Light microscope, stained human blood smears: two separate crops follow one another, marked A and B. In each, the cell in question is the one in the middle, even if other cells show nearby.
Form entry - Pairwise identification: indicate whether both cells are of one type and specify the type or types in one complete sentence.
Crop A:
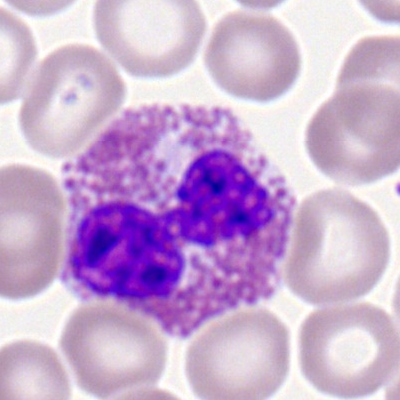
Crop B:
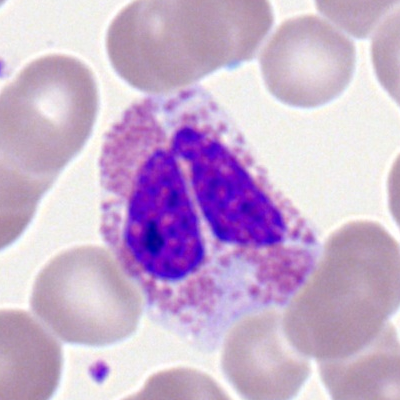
Yes, both crops show eosinophils, and nothing else needs adding.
